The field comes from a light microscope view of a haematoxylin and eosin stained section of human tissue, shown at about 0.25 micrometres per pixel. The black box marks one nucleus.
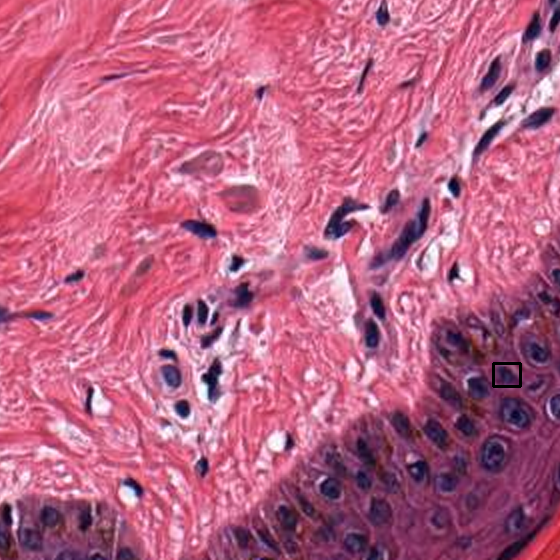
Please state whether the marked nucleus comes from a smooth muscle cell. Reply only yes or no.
no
